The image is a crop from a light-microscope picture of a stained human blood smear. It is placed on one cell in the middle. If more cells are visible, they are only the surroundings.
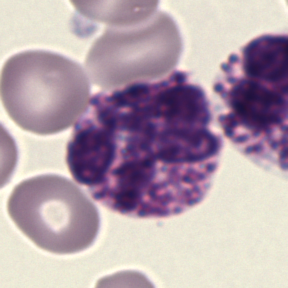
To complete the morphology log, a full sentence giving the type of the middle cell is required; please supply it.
The cell at the centre of the field is a basophil.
